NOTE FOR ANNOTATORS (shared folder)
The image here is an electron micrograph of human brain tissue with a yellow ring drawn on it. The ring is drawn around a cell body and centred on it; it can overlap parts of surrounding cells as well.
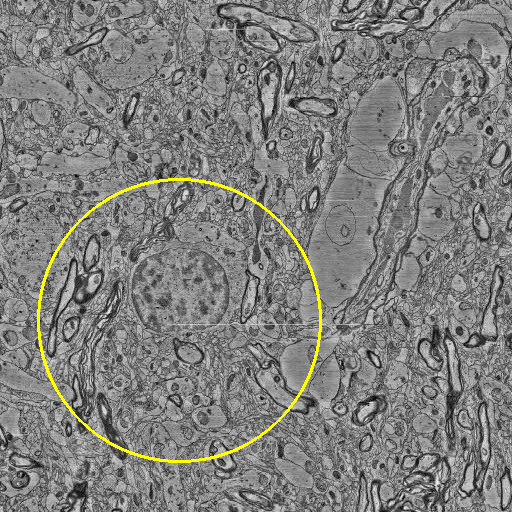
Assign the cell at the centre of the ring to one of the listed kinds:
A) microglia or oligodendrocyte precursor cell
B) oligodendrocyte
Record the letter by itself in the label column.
B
